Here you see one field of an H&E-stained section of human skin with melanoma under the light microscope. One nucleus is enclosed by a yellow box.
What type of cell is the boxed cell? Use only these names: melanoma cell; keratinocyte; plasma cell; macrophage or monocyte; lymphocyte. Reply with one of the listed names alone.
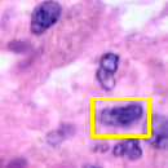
macrophage or monocyte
